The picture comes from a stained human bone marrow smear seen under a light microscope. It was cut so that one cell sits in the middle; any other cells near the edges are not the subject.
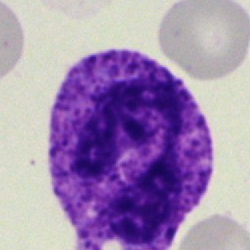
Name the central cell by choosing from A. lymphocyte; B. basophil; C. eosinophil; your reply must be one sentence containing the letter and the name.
The cell shown centrally is a basophil; option B is the correct option.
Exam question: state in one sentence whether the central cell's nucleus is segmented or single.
The nuclear outline breaks up into two or more lobes.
